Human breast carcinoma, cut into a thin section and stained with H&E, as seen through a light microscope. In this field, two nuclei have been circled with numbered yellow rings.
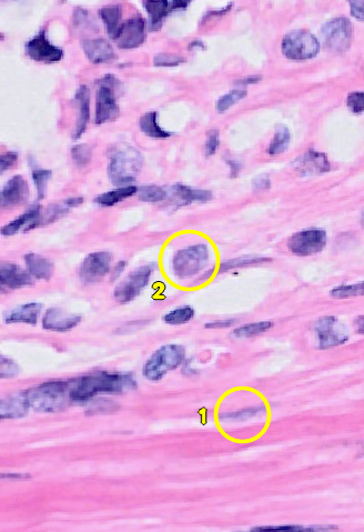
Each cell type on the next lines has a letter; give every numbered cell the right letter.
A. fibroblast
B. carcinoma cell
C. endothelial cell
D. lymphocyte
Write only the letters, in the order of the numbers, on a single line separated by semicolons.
A; B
